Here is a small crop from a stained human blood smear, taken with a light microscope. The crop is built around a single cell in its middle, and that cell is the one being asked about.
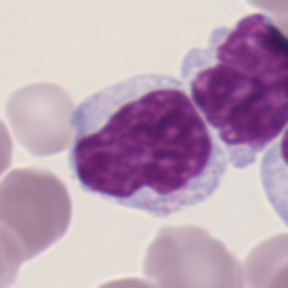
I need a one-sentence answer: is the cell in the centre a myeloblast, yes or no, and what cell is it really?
No, the cell found centrally in the crop is a large granular lymphocyte, not a myeloblast.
